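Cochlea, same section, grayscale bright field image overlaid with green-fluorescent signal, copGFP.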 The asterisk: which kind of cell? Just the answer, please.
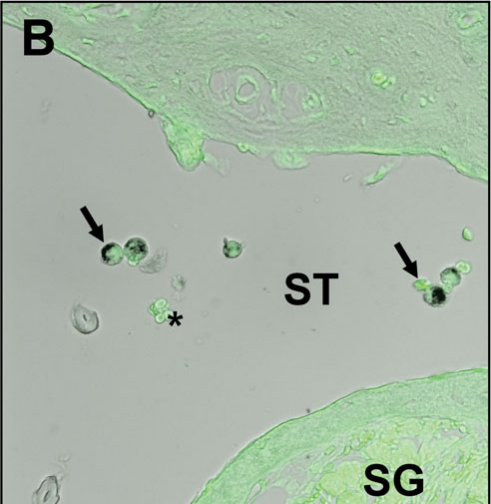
Erythrocytes.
